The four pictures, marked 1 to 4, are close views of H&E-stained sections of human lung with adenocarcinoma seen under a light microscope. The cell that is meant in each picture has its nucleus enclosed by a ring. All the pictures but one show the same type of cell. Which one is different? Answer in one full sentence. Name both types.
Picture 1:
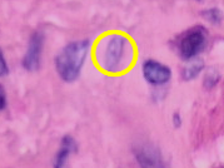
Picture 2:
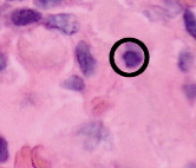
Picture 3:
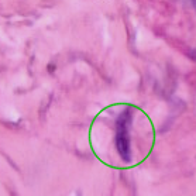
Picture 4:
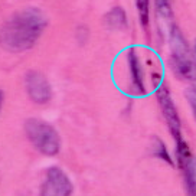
Picture 2 is the odd one out: it shows a lymphocyte, while the others show fibroblasts.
